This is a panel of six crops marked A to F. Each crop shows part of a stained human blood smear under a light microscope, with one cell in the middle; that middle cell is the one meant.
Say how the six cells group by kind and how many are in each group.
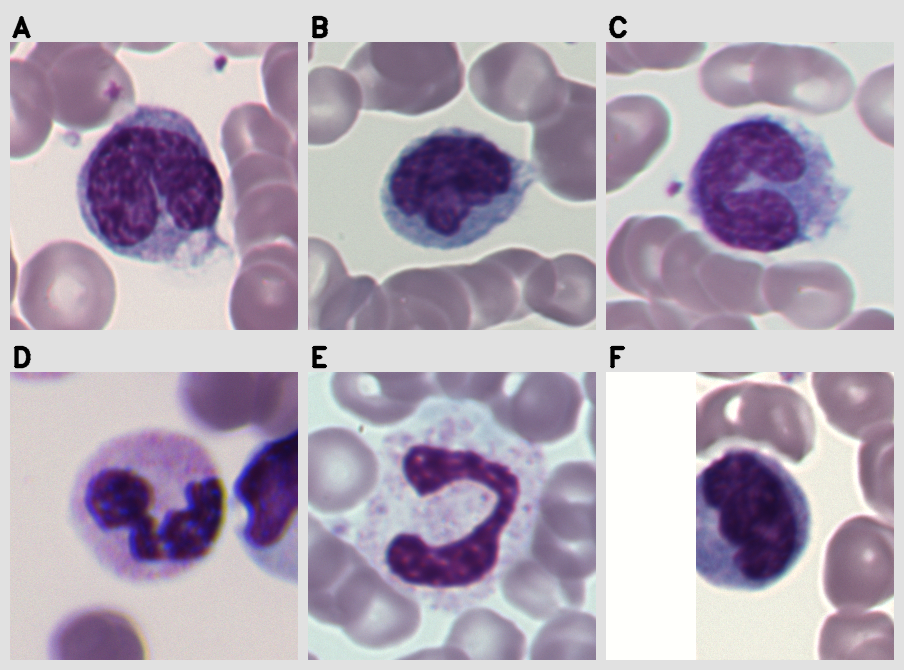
monocyte: 4
segmented neutrophil: 2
